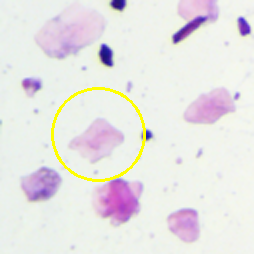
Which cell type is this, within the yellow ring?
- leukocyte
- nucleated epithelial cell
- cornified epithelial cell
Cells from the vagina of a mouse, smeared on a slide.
Within the ring is a cornified epithelial cell.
